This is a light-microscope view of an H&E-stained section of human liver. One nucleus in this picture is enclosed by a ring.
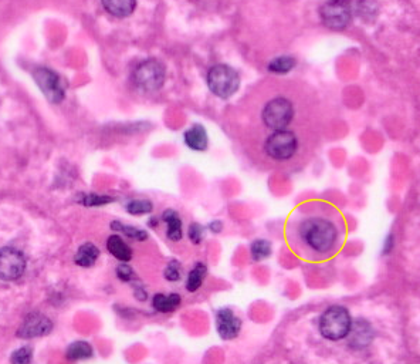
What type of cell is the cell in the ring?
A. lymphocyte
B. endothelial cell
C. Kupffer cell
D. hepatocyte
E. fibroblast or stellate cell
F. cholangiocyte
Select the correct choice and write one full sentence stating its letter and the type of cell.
In this case the cell in the ring is a Kupffer cell, so option C is correct.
